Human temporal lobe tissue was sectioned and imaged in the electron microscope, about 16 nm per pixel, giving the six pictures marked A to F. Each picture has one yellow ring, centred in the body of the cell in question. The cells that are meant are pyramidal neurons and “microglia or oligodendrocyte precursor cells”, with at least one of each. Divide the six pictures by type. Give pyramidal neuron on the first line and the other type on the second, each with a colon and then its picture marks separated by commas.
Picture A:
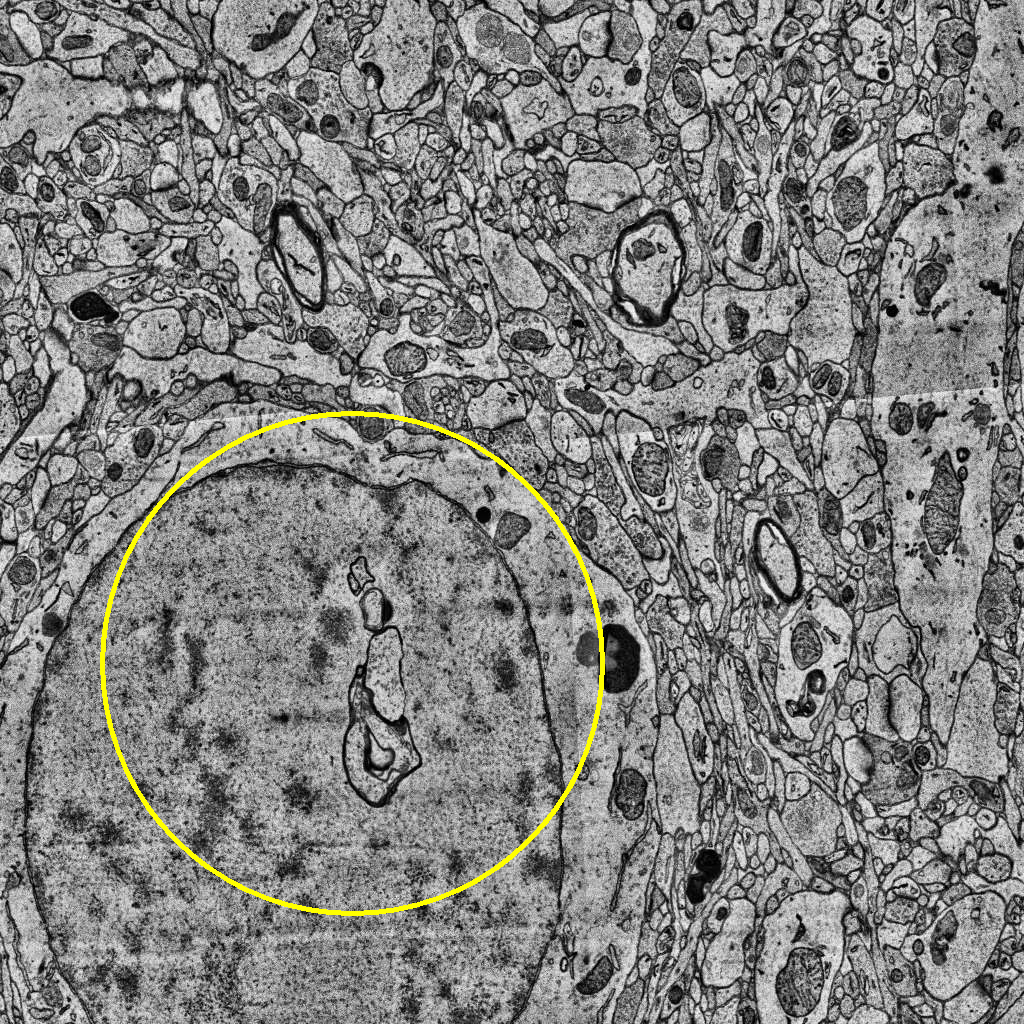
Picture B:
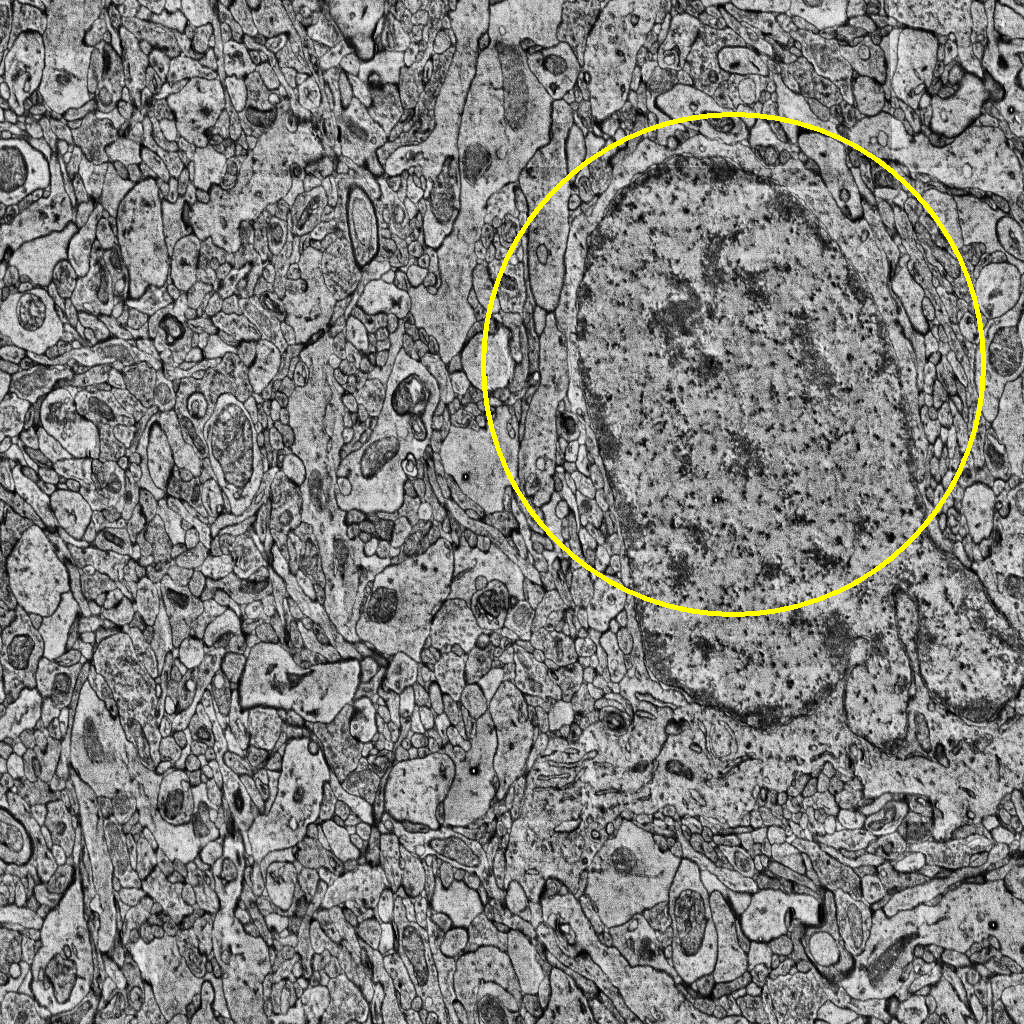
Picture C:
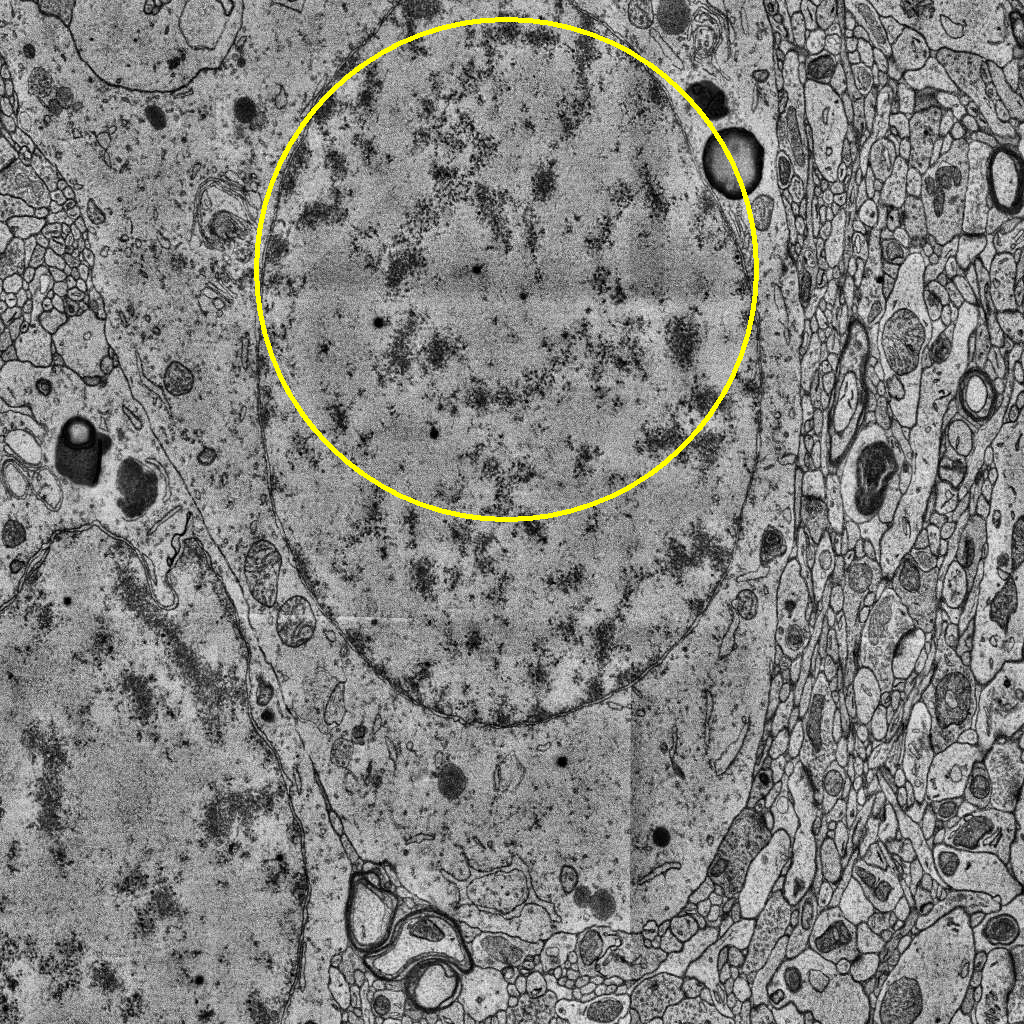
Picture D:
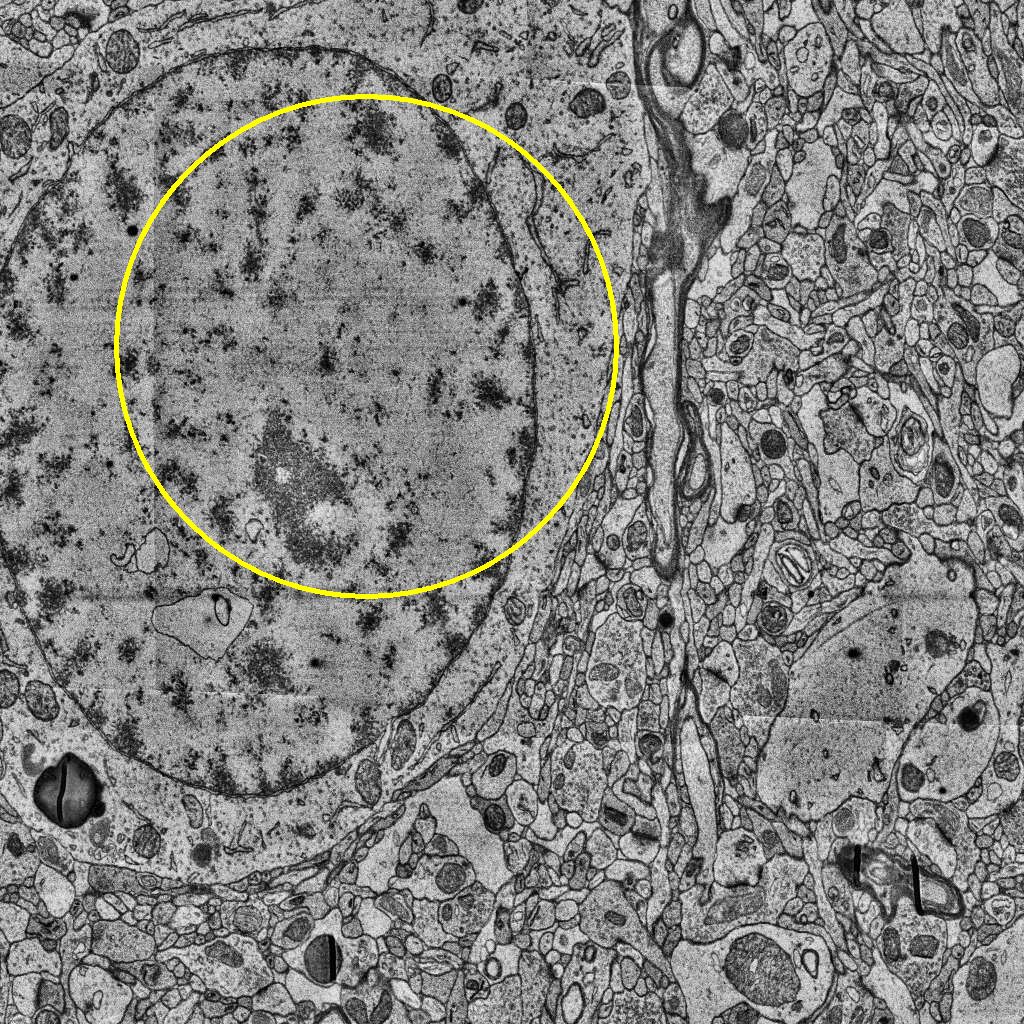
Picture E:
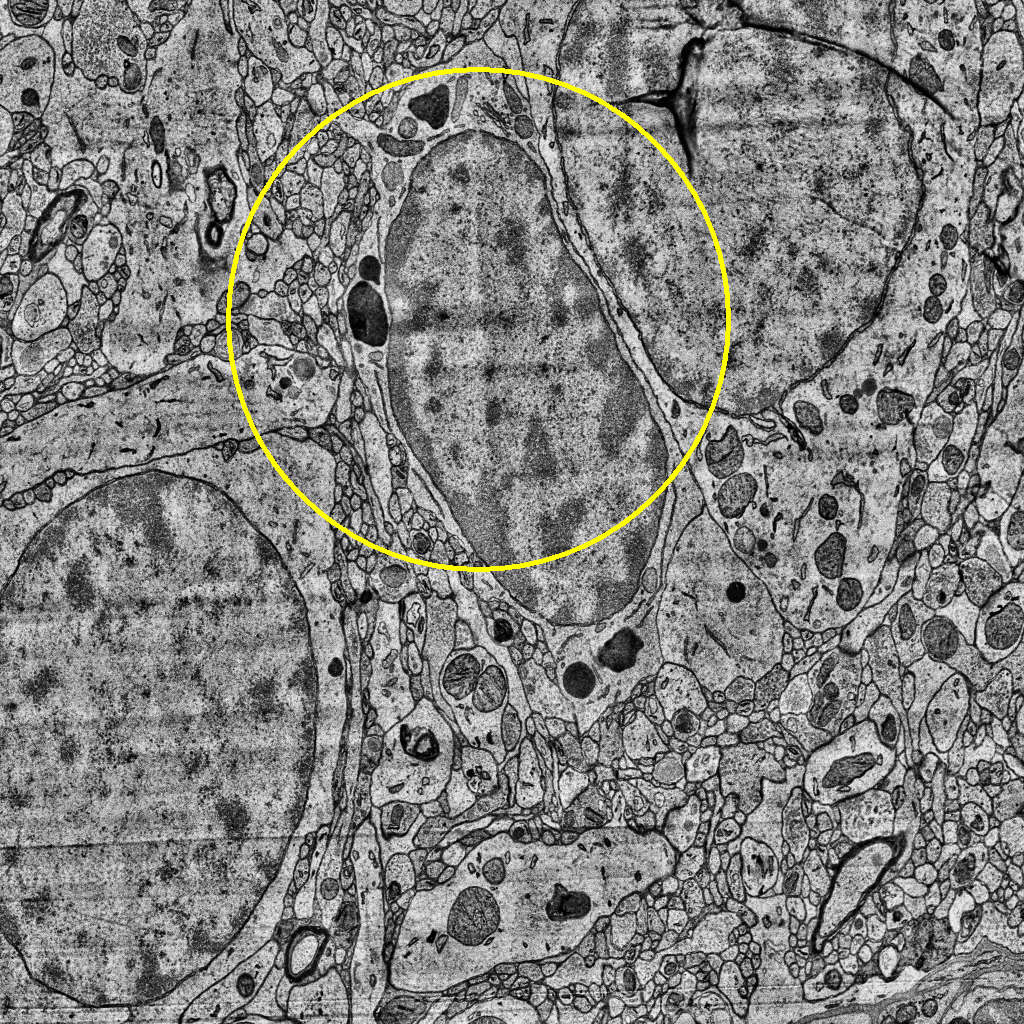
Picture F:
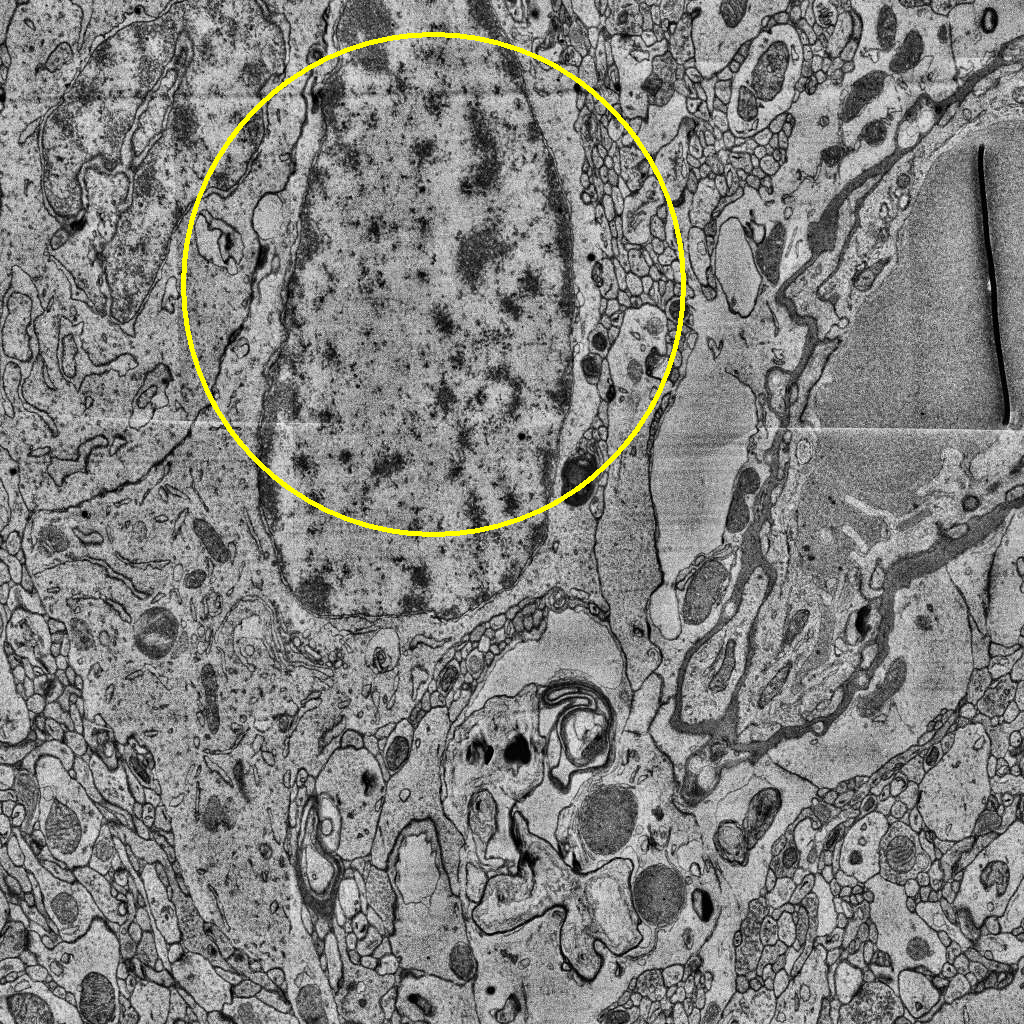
pyramidal neuron: A, C, D
microglia or oligodendrocyte precursor cell: B, E, F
